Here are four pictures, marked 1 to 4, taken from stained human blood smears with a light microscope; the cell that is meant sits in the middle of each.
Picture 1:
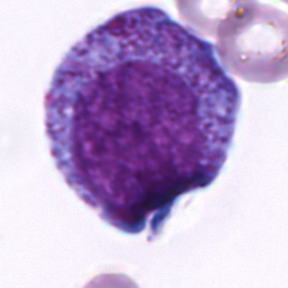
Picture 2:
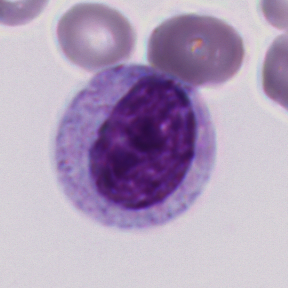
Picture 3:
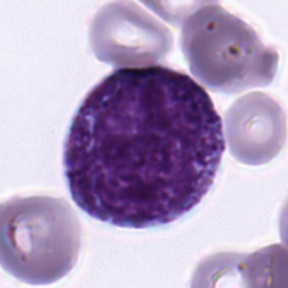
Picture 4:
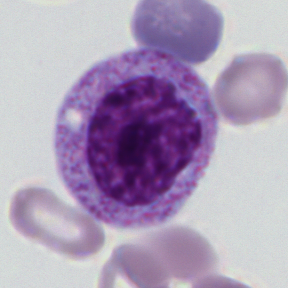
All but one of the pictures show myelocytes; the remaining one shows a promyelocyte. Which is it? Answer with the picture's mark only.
1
